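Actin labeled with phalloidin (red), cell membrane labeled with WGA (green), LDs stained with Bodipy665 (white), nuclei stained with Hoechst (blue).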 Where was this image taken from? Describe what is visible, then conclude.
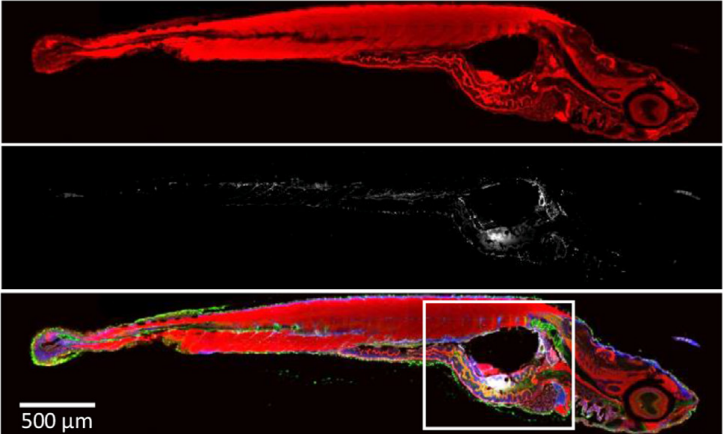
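The whole larva is cut lengthwise, from head with eye at one end to tail fin at the other. The body wall, muscle and gut run along the long axis of the section.
Answer: sagittal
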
